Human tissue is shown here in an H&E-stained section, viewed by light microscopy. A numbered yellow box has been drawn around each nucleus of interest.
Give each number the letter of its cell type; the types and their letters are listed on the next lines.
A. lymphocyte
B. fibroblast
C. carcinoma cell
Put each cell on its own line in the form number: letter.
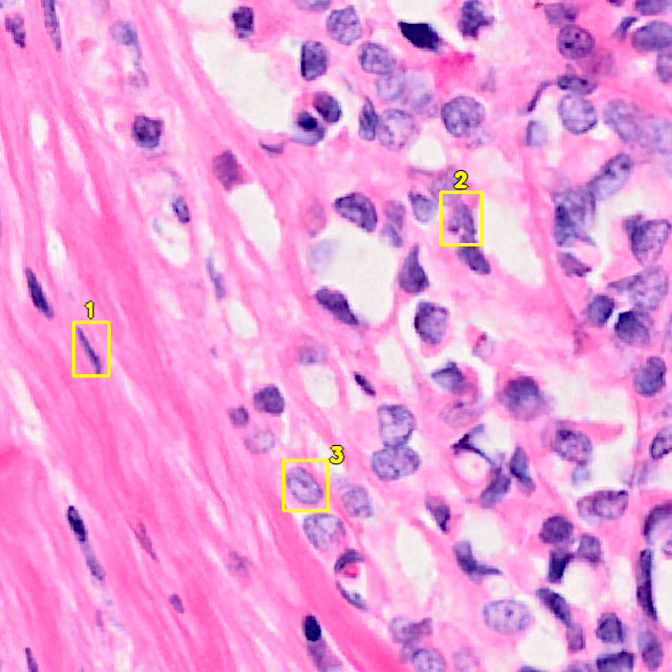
1: B
2: C
3: C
